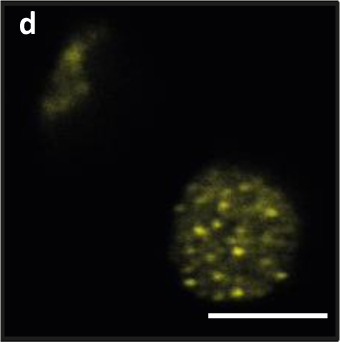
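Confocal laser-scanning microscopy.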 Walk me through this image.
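The lower one is round and fills the lower right of the field, with many small bright yellow dots scattered over a fainter, finely granular yellow surface. The upper one, at top left, is smaller, irregular and elongated, and its yellow glow is dim and patchy.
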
